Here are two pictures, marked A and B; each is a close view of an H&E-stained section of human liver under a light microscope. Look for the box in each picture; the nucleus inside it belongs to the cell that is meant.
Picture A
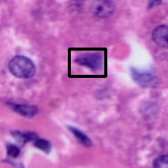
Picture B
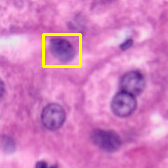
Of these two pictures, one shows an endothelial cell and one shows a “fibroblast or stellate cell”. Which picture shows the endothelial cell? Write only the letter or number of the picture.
B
